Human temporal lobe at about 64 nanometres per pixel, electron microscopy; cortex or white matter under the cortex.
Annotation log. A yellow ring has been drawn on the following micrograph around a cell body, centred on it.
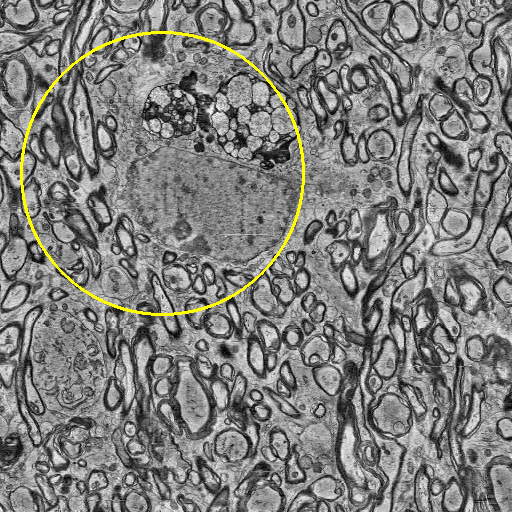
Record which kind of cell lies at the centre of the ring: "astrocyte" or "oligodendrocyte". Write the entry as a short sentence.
The cell the ring is centred on is an astrocyte.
